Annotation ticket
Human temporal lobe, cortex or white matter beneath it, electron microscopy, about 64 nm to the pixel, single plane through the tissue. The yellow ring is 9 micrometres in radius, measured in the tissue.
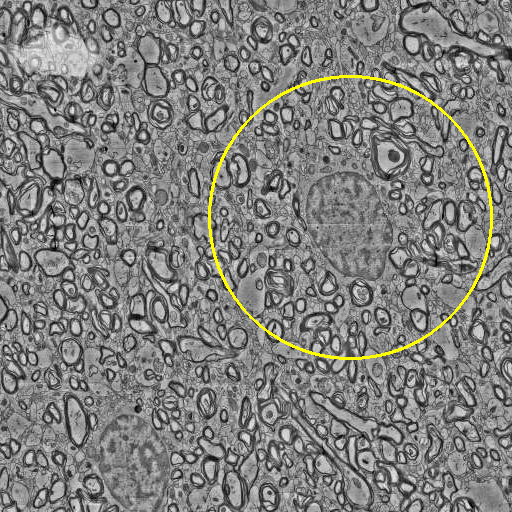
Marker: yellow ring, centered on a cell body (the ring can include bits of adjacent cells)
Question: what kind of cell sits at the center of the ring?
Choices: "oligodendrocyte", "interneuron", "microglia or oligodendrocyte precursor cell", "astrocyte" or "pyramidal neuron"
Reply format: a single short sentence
The ring is centered on an oligodendrocyte.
